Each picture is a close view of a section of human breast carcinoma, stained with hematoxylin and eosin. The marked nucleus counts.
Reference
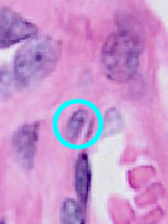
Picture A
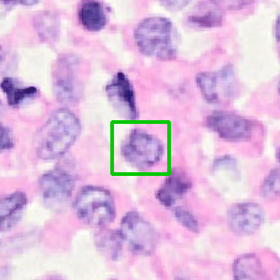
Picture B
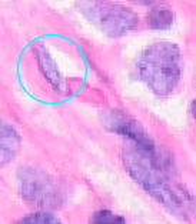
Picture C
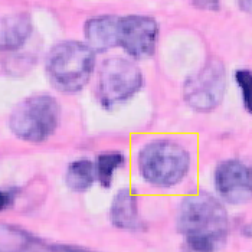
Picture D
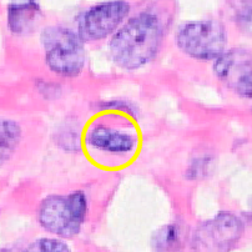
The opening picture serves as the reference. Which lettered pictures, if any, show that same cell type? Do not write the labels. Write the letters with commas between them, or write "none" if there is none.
B, D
